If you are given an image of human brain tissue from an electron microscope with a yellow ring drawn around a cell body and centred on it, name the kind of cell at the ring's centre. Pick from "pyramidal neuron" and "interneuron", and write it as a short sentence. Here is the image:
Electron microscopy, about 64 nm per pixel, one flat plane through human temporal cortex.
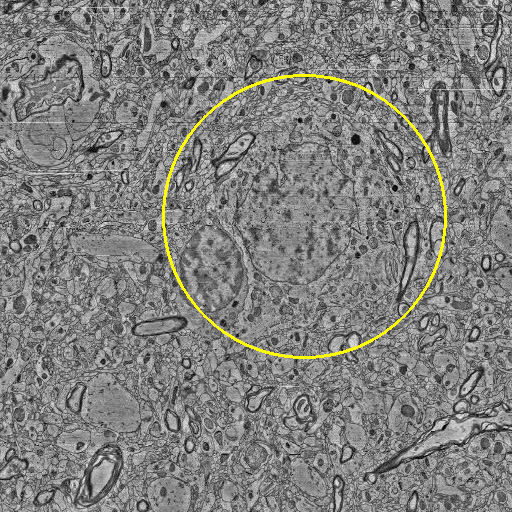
The cell at the ring's centre is an interneuron.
